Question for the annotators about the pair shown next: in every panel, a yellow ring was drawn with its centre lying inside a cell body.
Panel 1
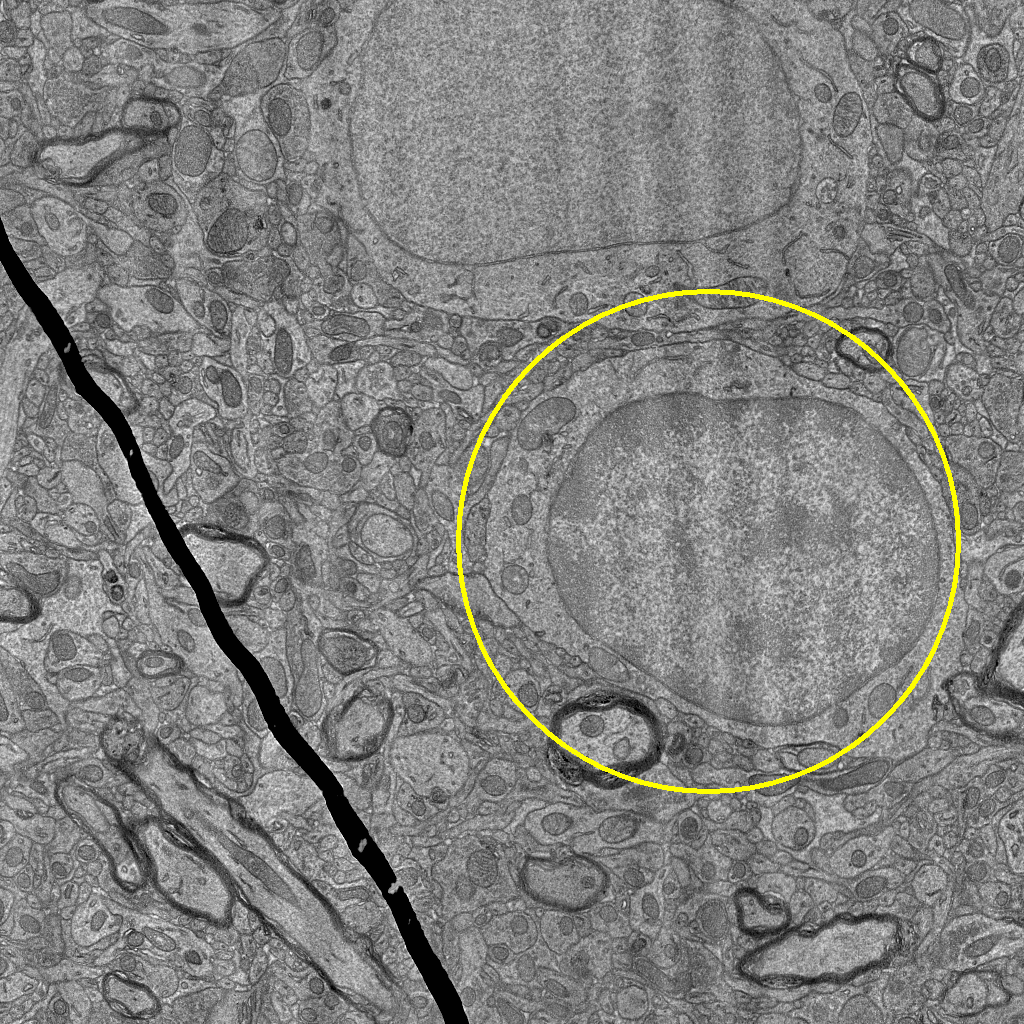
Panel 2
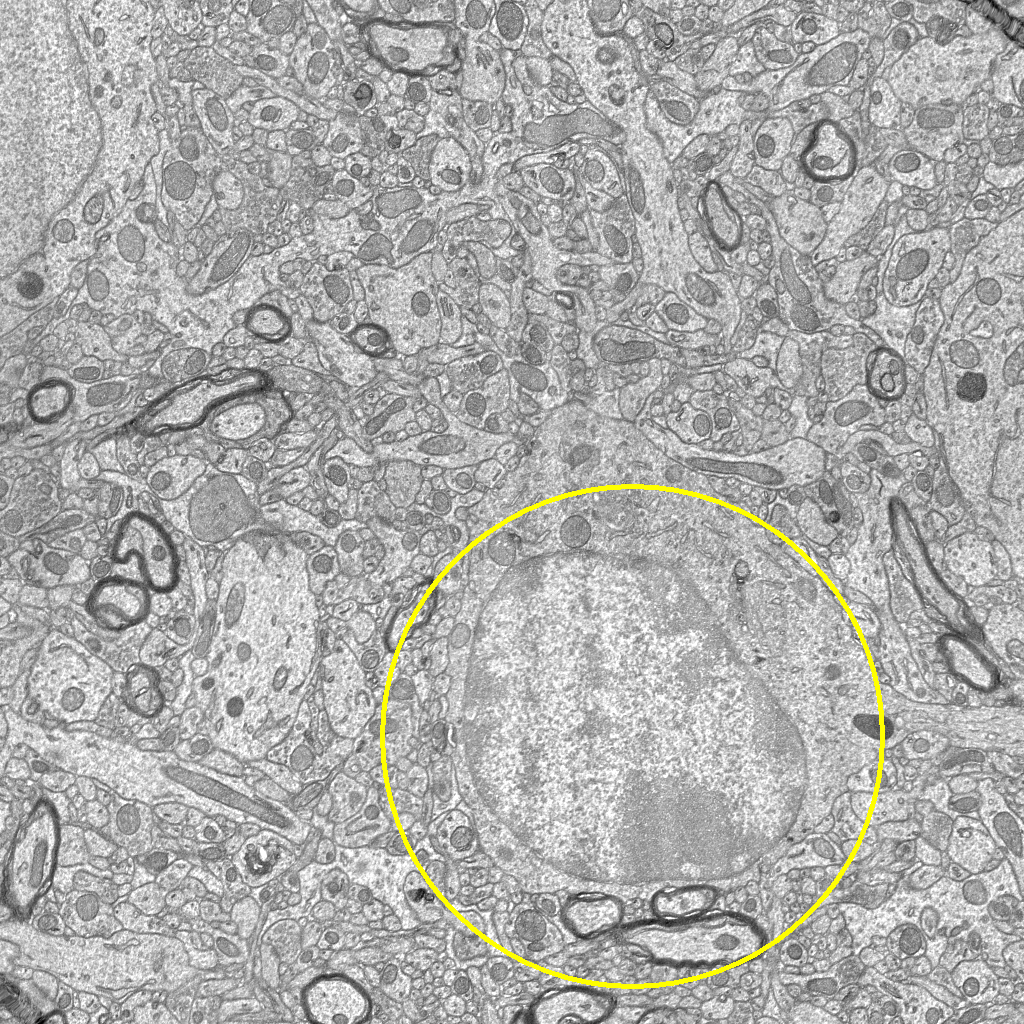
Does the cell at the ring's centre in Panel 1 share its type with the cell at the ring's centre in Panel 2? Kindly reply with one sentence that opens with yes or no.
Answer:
Yes, in Panels 1 and 2 the cells at the ring centres belong to a single type.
